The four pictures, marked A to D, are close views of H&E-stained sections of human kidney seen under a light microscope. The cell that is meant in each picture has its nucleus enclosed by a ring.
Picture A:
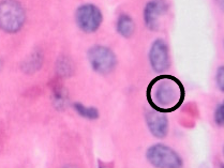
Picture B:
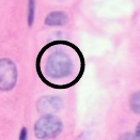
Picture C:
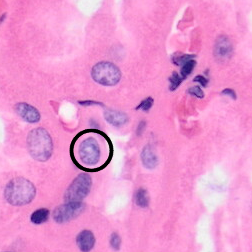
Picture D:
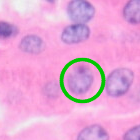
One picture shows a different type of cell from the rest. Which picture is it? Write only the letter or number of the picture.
D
